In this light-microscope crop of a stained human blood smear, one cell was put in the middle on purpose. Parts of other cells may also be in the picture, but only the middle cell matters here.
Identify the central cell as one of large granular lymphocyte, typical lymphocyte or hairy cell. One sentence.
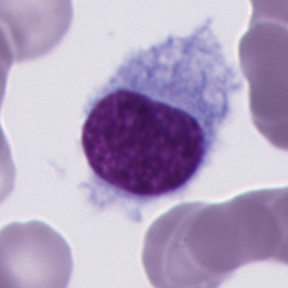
The middle cell in this particular crop is a hairy cell.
